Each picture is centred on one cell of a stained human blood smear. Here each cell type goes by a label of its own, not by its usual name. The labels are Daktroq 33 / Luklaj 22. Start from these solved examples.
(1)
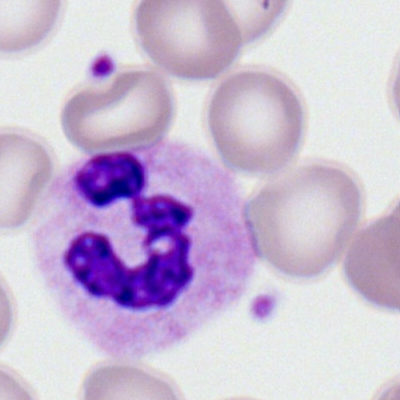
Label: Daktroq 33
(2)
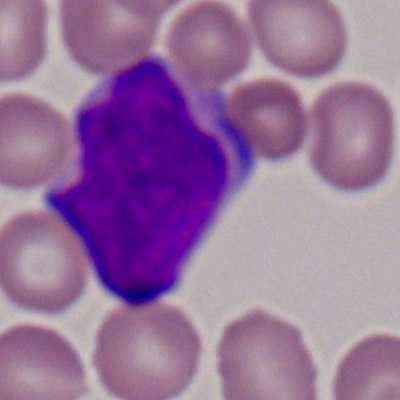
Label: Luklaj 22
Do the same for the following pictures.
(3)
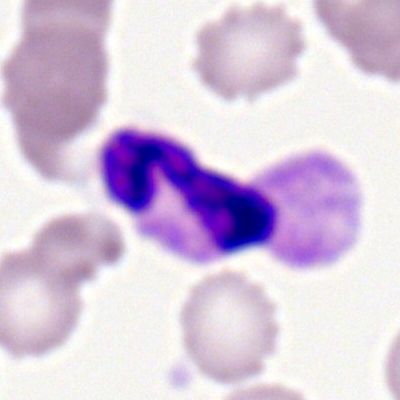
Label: Daktroq 33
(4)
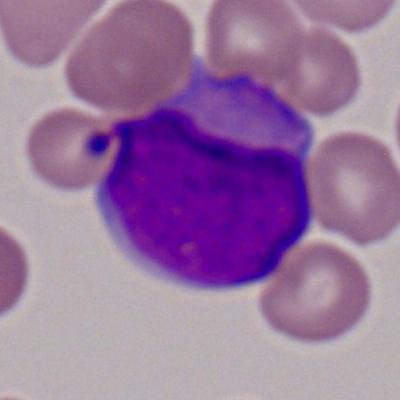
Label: Luklaj 22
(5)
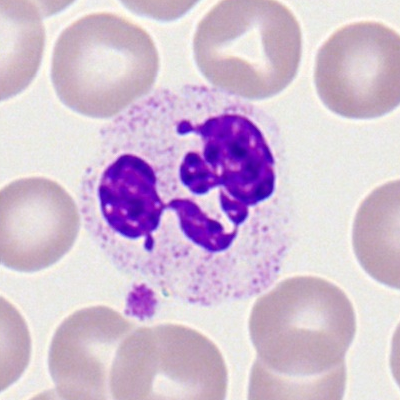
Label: Daktroq 33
